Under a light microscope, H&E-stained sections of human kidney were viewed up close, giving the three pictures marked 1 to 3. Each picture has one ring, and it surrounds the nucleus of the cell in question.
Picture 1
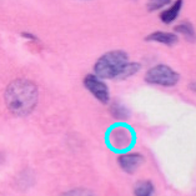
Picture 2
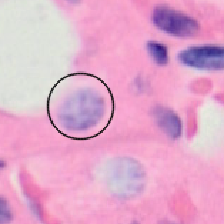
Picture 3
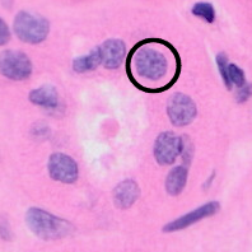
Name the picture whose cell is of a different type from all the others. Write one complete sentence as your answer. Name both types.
Unlike the rest, which show “loop of Henle or distal tubule cells”, picture 1 shows a collecting duct cell.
